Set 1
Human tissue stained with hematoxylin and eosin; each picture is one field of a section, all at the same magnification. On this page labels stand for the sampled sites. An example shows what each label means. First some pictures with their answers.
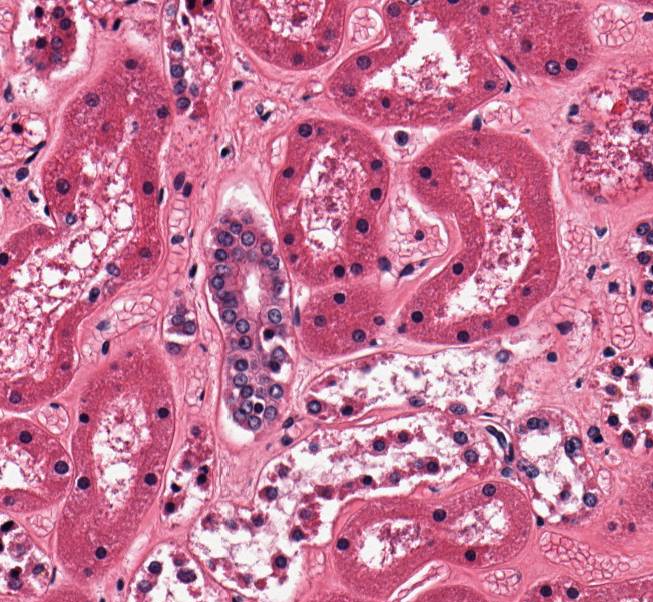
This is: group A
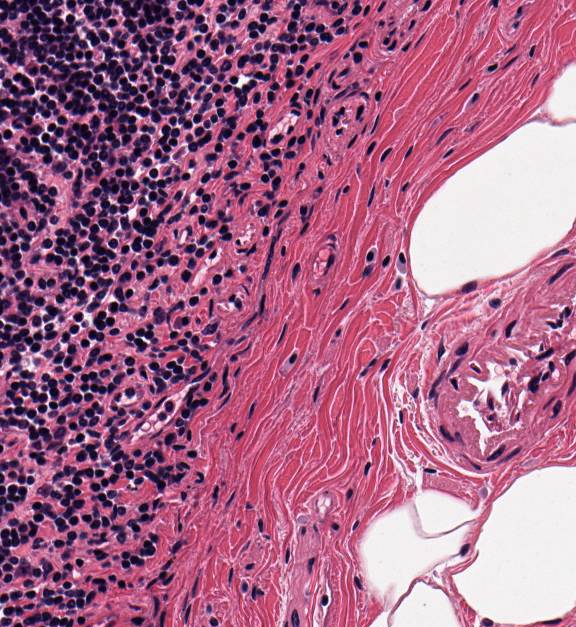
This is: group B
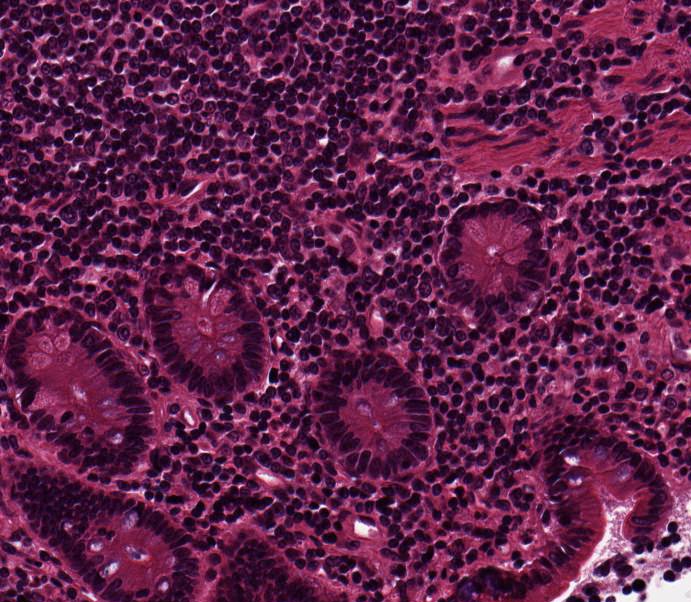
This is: group B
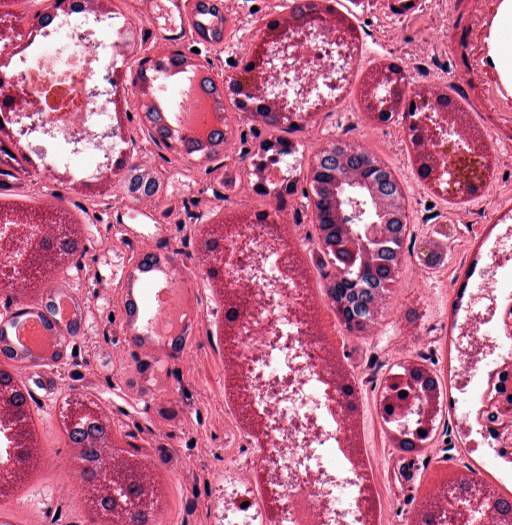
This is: group A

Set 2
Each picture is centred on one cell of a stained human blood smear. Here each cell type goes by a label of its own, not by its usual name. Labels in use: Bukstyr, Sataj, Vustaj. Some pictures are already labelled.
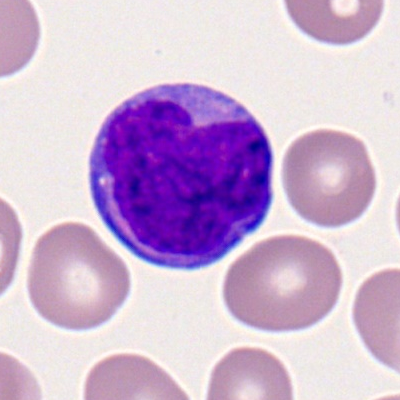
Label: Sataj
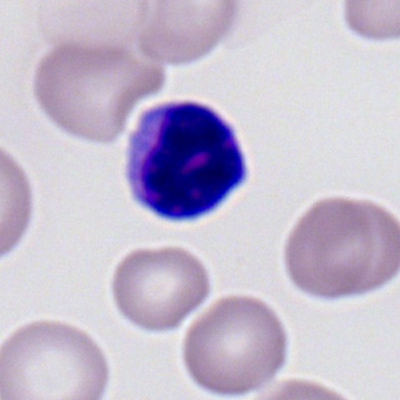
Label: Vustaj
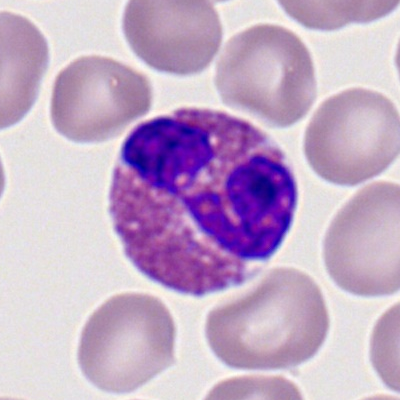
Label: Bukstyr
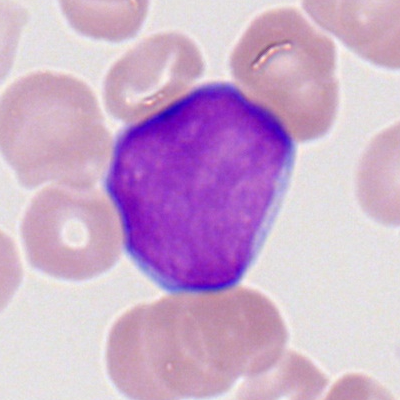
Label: Sataj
